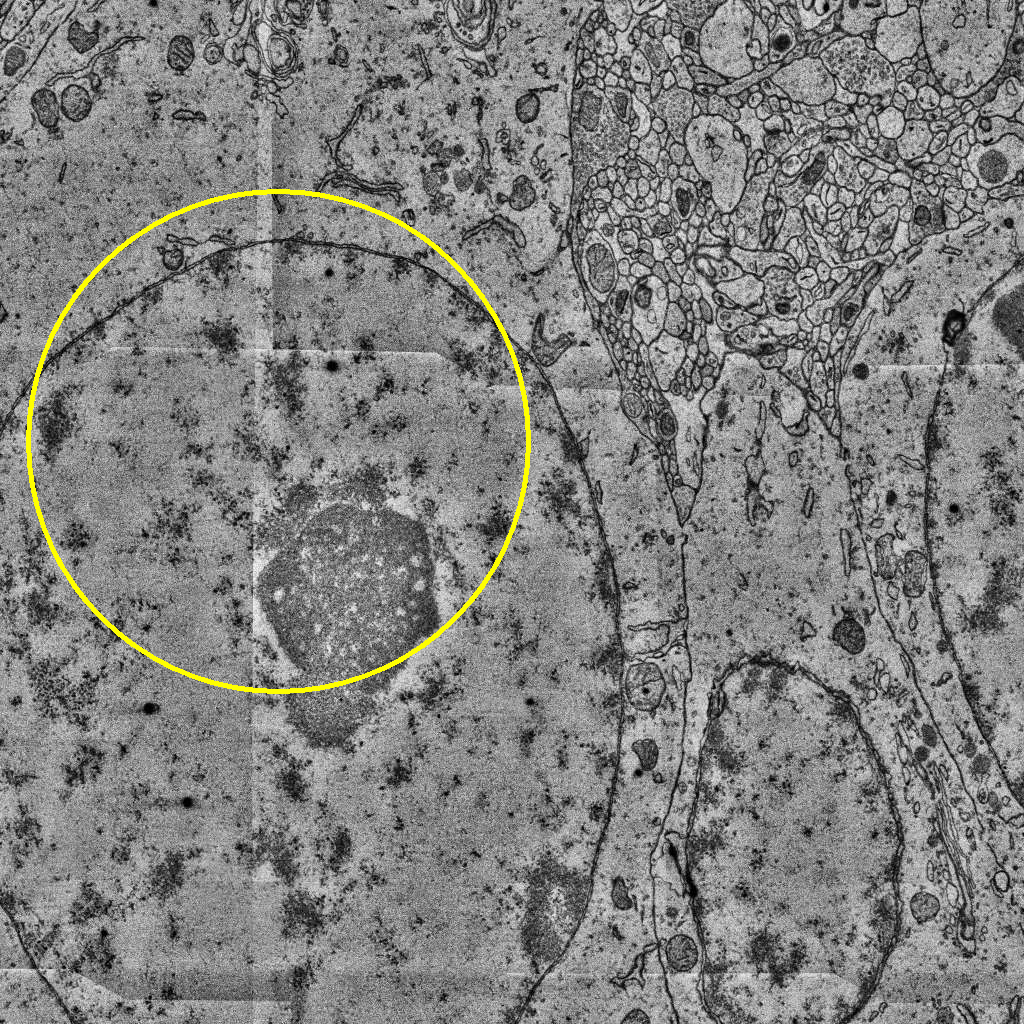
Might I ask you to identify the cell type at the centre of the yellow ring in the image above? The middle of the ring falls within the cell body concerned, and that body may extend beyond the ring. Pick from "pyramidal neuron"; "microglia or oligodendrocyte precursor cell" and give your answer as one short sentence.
The centre of the ring falls on a pyramidal neuron.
